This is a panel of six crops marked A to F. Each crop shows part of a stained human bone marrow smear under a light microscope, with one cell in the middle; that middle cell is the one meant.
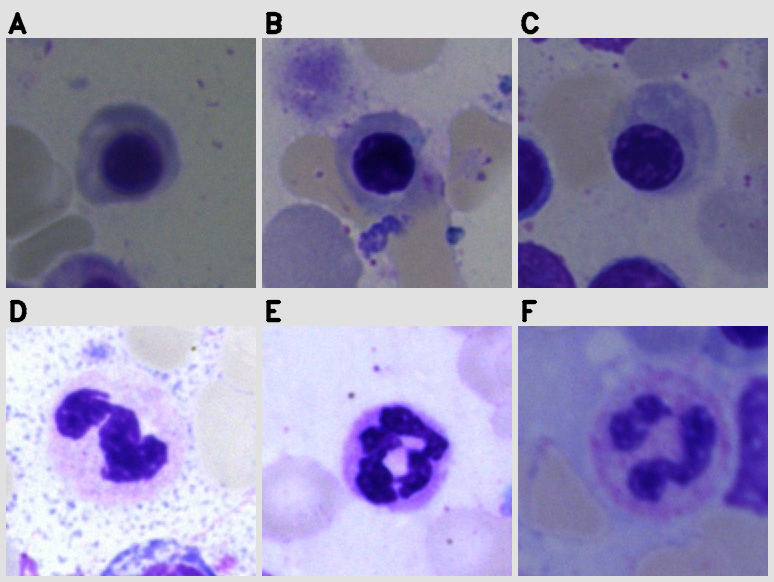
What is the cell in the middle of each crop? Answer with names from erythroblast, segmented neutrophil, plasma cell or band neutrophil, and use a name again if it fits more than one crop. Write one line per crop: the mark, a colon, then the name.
A: erythroblast
B: erythroblast
C: erythroblast
D: segmented neutrophil
E: segmented neutrophil
F: segmented neutrophil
